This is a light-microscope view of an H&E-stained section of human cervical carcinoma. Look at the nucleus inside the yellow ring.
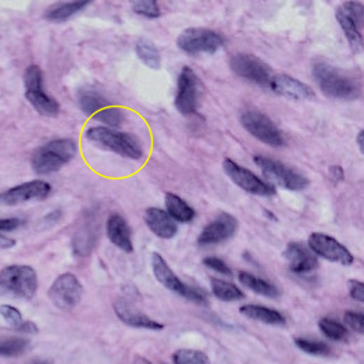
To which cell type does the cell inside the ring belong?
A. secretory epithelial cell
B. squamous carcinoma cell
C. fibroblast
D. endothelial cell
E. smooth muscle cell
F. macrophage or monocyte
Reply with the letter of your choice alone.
C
